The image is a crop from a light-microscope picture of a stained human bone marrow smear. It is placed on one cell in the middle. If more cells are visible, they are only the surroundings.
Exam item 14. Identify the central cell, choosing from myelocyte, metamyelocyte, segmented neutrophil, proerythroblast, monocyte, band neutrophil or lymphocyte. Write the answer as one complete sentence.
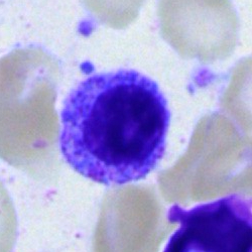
The centrally positioned cell in the crop represents a myelocyte.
